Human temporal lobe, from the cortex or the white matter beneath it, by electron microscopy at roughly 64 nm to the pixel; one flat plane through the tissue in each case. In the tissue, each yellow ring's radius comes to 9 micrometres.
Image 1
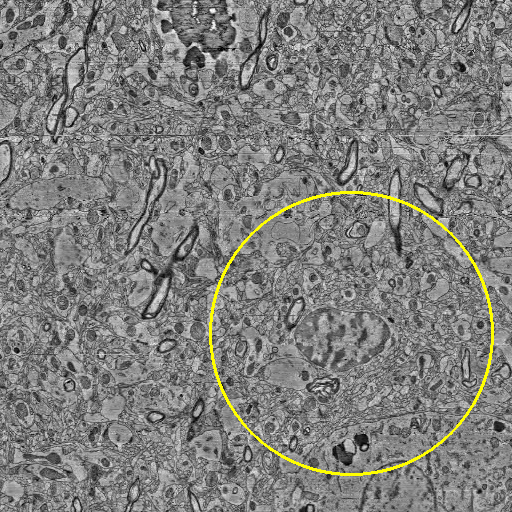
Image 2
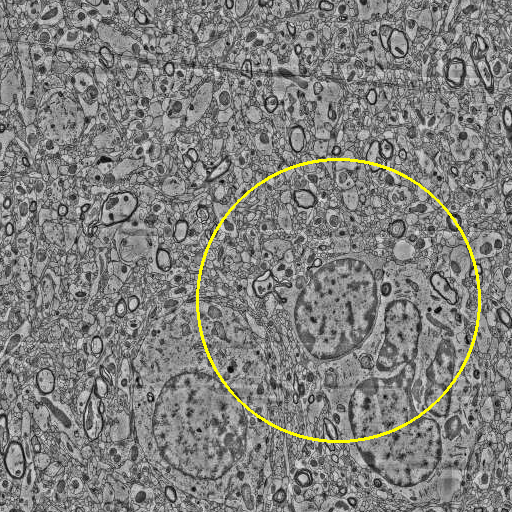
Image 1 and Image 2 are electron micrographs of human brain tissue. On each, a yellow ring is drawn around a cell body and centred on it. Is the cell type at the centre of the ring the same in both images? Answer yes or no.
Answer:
no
